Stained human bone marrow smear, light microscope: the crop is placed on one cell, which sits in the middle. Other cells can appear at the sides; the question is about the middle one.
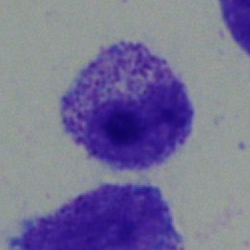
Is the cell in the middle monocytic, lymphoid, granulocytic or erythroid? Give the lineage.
granulocytic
